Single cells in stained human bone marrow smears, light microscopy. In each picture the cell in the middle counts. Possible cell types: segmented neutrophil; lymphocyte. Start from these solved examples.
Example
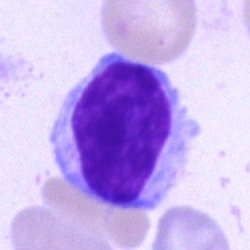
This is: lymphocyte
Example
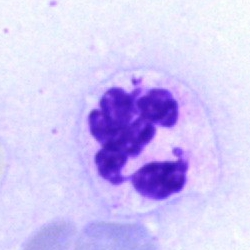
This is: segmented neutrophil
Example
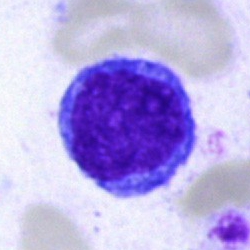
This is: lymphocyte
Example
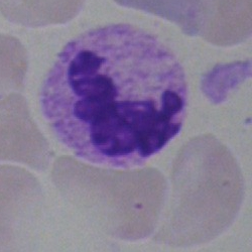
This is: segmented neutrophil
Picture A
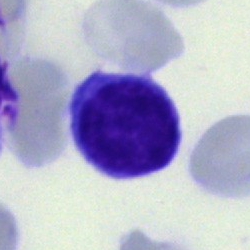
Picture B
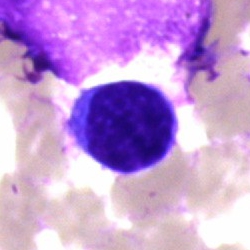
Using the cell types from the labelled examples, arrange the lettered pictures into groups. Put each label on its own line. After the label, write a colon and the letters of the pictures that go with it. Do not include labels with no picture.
lymphocyte: A, B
